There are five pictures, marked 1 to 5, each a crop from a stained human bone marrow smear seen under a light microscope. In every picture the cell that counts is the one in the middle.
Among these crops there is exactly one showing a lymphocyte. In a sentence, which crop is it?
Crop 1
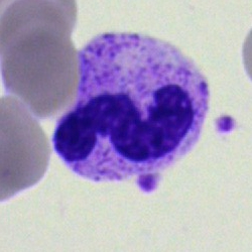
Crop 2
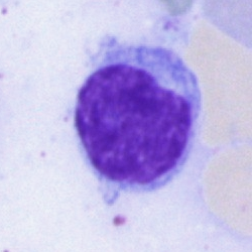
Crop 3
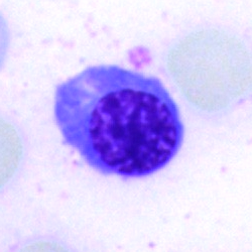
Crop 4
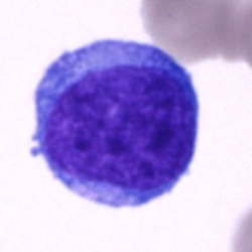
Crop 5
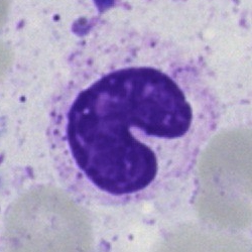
Of the labelled crops, the one that shows a lymphocyte is crop 2.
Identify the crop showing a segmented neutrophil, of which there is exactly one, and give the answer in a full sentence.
It is in crop 1, among all the crops, that a segmented neutrophil is present.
